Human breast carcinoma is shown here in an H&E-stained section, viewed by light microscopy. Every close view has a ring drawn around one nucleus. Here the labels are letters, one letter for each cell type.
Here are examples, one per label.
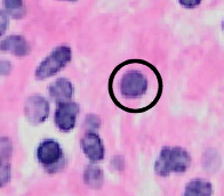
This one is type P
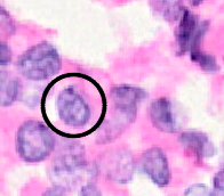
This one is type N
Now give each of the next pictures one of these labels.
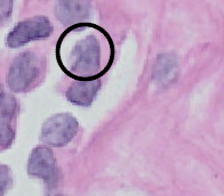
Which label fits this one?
type N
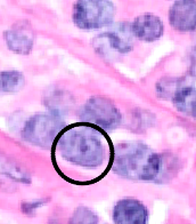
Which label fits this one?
type N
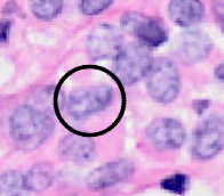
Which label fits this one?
type N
